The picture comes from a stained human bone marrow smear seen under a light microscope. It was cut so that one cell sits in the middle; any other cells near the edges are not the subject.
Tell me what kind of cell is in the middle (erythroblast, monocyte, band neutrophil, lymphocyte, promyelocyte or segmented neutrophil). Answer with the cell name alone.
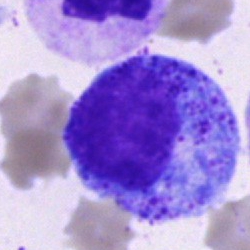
promyelocyte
